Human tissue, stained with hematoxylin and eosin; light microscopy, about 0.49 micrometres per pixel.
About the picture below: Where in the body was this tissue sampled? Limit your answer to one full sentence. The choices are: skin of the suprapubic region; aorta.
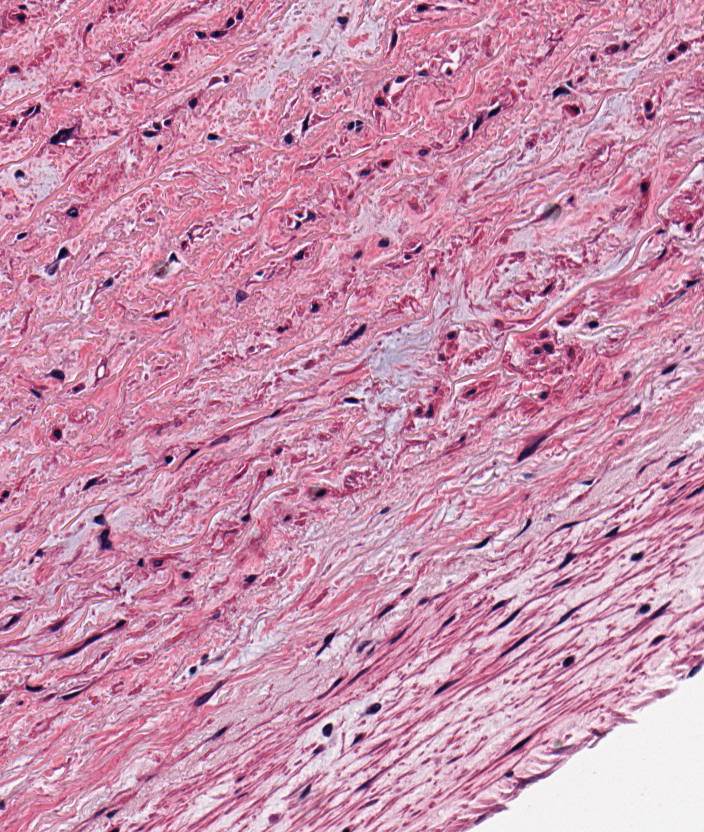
The specimen was sampled from the aorta.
